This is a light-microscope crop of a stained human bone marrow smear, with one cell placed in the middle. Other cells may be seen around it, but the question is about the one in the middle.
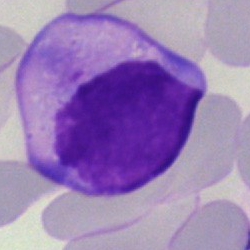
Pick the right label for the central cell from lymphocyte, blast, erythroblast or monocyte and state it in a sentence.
The centrally located cell in the crop is a blast.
